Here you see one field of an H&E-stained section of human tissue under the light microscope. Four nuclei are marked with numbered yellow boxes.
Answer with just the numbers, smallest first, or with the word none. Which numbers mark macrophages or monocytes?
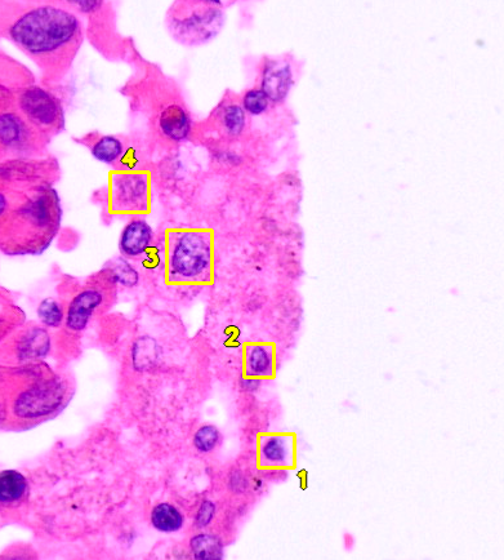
2, 3, 4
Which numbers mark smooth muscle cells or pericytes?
none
